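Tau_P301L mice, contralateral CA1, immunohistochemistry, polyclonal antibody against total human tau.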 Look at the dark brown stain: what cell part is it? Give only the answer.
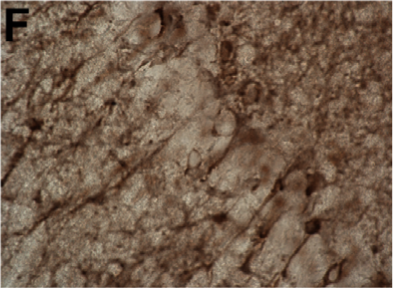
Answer: Processes.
